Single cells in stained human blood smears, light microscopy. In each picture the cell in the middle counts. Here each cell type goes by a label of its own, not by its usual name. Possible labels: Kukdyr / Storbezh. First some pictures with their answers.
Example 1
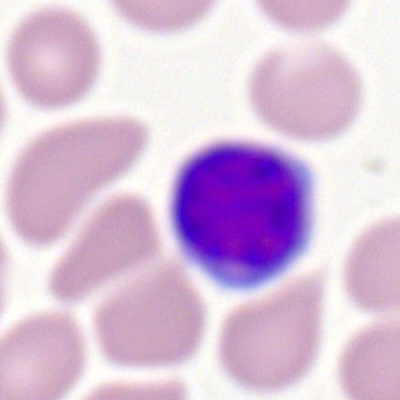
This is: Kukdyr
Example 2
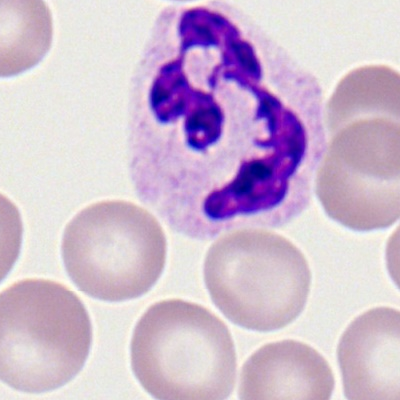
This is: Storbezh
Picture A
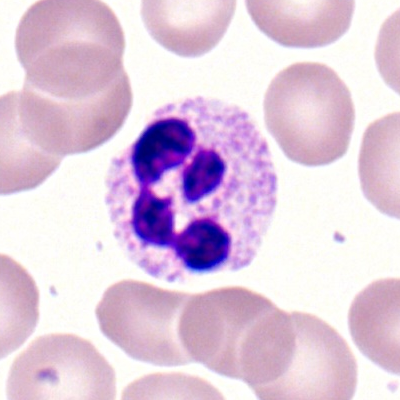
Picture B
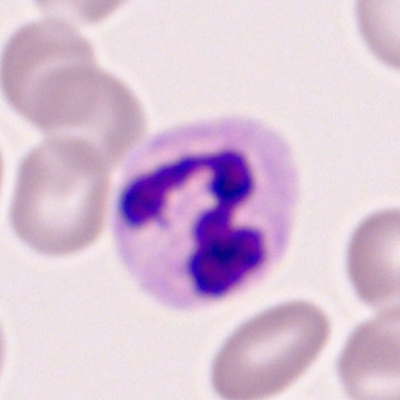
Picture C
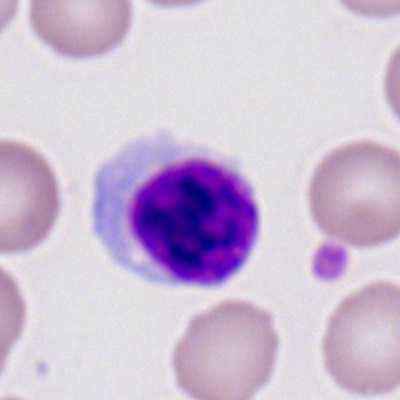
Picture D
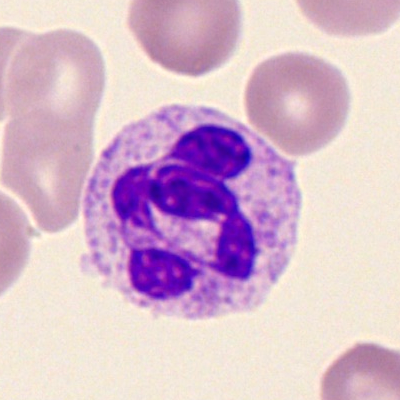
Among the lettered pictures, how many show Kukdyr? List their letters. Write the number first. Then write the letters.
1, namely C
